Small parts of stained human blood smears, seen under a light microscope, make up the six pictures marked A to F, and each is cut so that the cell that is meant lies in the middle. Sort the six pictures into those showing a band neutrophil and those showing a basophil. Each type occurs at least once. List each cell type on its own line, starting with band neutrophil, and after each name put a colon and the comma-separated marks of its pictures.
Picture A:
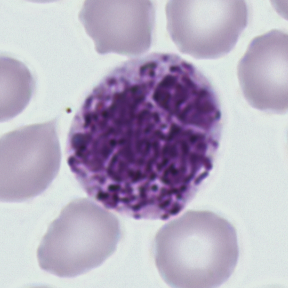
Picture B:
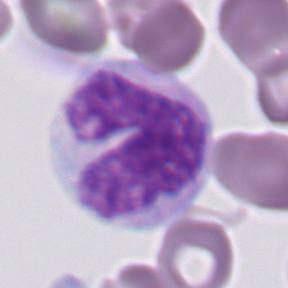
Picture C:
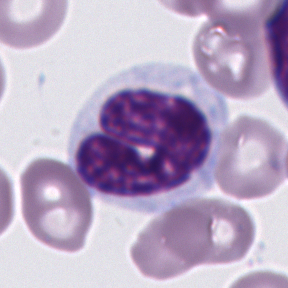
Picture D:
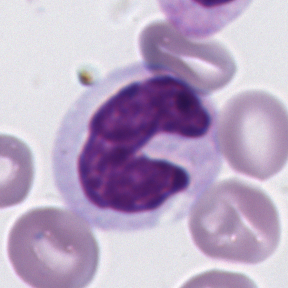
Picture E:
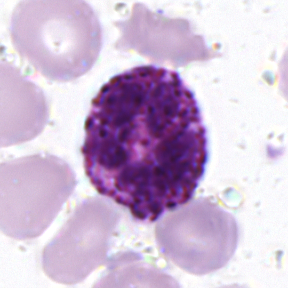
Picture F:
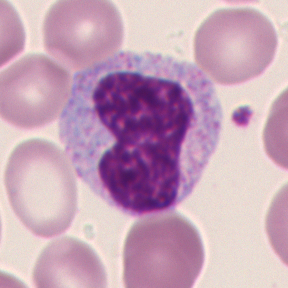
band neutrophil: B, C, D, F
basophil: A, E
